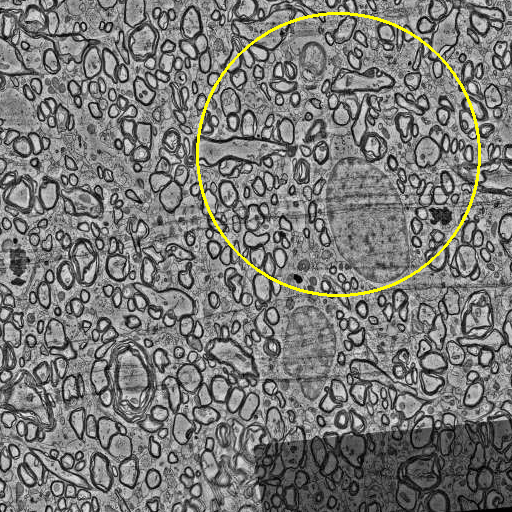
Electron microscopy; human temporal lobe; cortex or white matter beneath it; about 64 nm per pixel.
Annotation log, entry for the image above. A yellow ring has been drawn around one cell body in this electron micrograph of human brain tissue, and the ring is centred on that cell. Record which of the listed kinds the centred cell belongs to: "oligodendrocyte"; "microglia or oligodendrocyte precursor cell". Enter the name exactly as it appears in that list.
microglia or oligodendrocyte precursor cell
